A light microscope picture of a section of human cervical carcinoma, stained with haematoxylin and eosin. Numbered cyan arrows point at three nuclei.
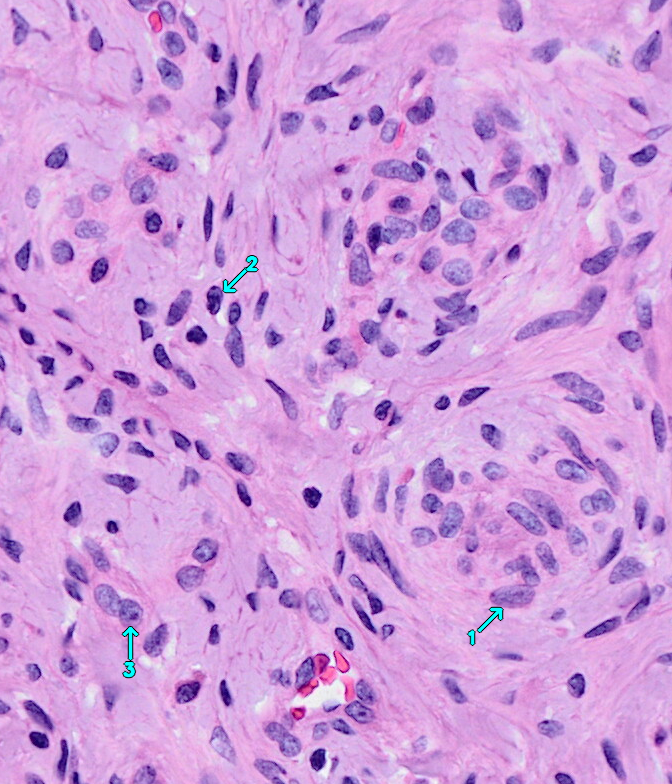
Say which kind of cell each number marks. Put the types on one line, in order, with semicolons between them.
smooth muscle cell; lymphocyte; endothelial cell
